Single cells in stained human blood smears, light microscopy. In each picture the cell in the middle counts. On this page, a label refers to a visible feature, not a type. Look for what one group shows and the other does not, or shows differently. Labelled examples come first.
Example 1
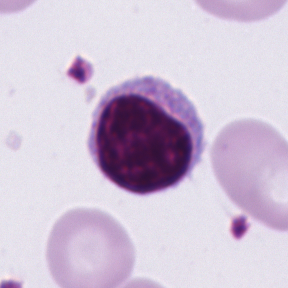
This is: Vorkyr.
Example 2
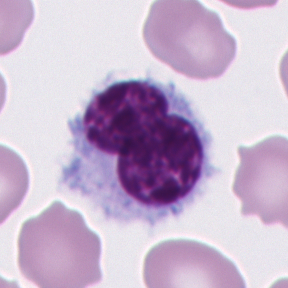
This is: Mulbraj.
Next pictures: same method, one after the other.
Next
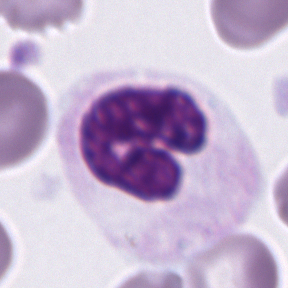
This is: Vorkyr.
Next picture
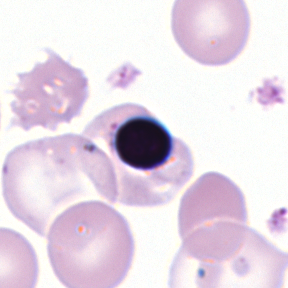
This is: Vorkyr.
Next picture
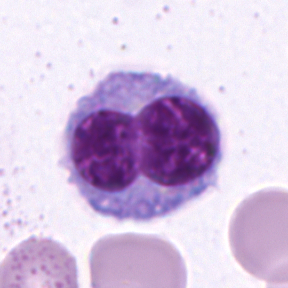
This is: Mulbraj.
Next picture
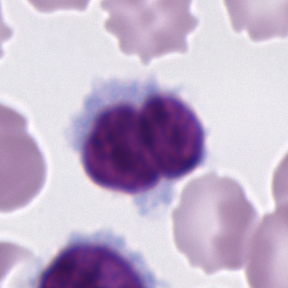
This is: Mulbraj.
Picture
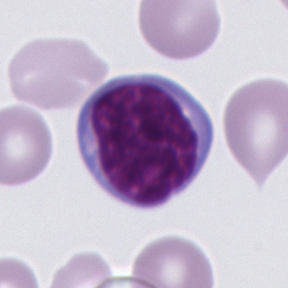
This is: Vorkyr.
